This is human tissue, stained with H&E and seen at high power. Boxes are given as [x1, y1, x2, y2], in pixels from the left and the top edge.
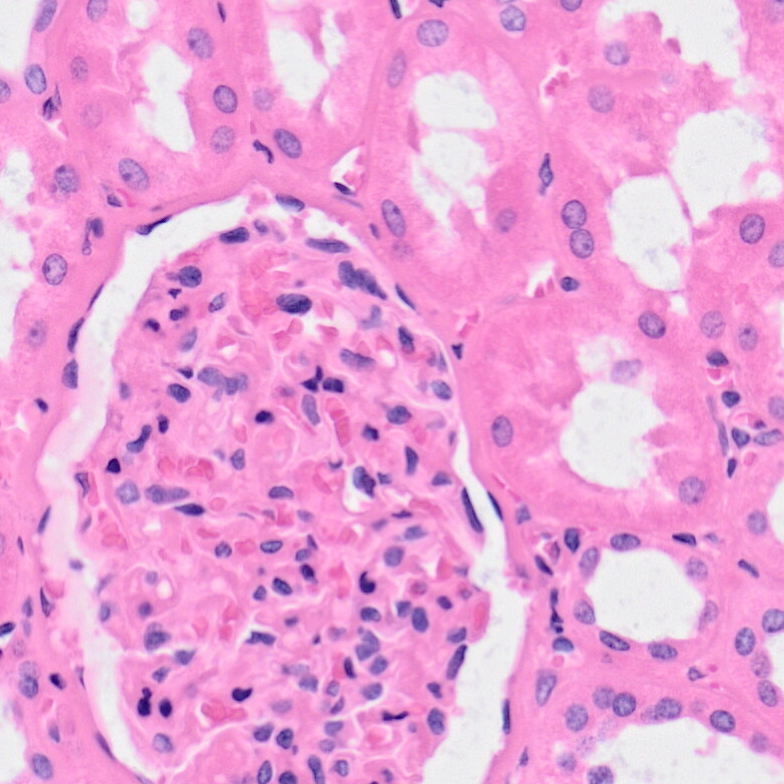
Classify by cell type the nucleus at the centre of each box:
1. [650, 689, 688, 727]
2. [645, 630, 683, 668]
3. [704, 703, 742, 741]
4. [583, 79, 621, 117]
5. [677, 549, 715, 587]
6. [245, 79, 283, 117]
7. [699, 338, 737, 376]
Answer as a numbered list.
1. loop of Henle or distal tubule cell
2. loop of Henle or distal tubule cell
3. loop of Henle or distal tubule cell
4. proximal tubule cell
5. loop of Henle or distal tubule cell
6. proximal tubule cell
7. endothelial cell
